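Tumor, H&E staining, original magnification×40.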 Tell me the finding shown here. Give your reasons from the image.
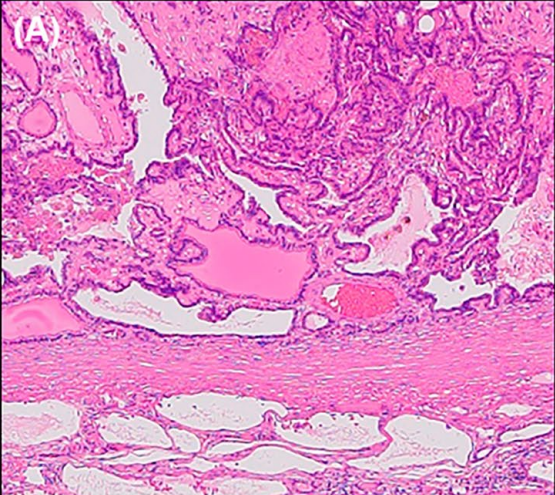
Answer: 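Papillary lesions with fibrovascular cores. Branching finger-like fronds project into cystic spaces. Each frond is lined by a thin layer of cells around a slender core of pale stroma. Some cores contain small vessels with red blood cells.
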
